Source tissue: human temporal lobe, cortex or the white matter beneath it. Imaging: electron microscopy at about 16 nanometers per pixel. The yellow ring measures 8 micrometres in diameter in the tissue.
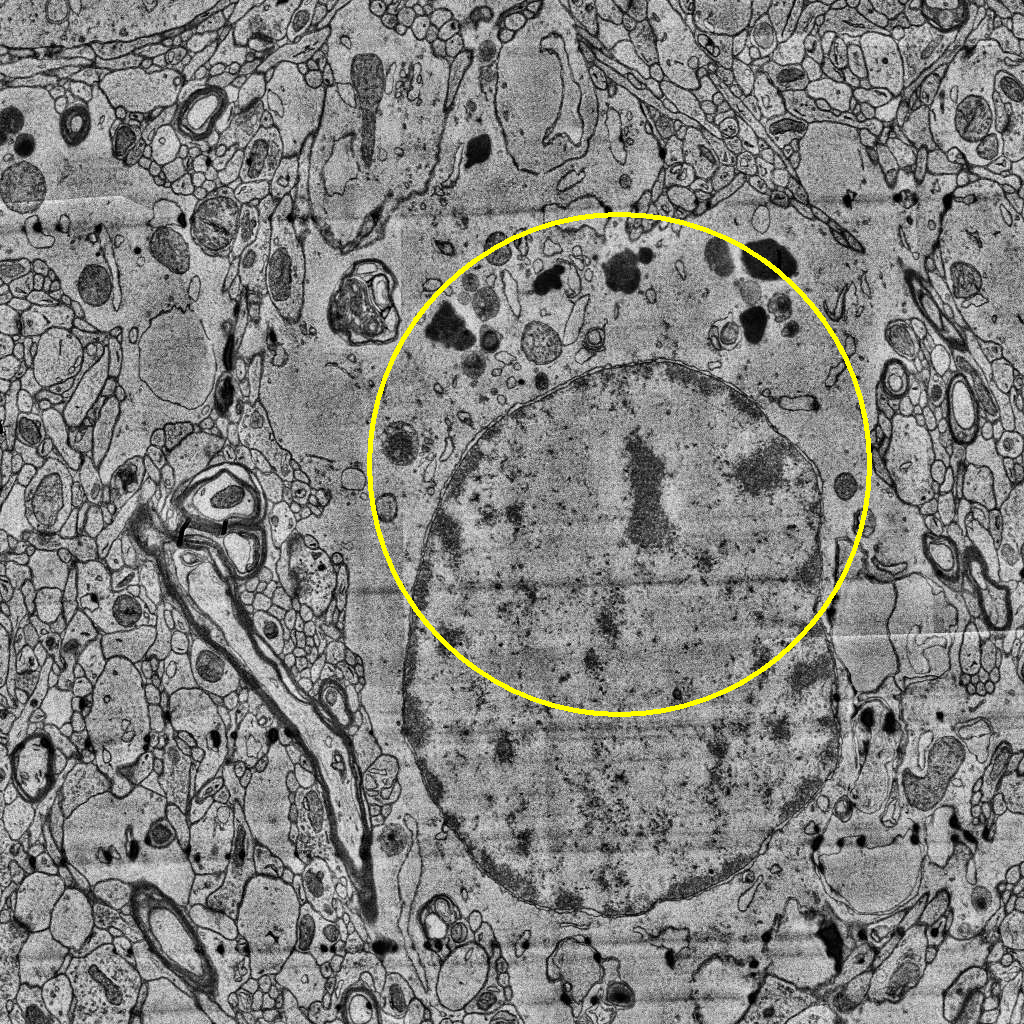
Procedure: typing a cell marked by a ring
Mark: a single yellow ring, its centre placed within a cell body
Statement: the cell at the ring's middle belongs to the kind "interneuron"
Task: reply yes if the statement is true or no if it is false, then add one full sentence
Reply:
No, this is false: the cell at the ring's centre in the picture belongs to some other kind.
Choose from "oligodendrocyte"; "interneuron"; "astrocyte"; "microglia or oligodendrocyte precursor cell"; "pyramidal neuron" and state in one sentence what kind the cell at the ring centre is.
It is an astrocyte at the centre of the ring.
